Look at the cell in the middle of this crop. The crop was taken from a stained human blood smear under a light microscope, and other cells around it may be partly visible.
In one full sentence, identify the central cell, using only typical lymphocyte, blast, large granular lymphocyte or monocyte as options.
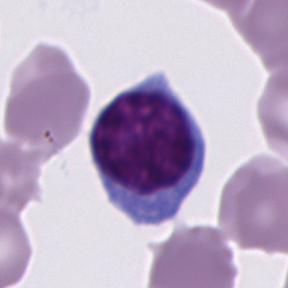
The identification for the central cell is a typical lymphocyte.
